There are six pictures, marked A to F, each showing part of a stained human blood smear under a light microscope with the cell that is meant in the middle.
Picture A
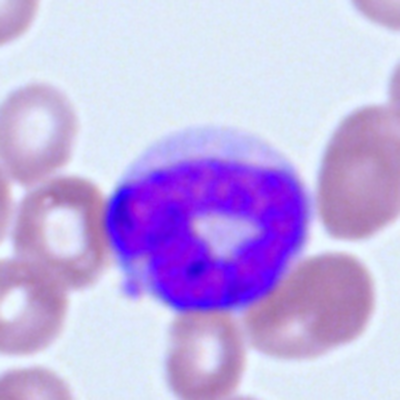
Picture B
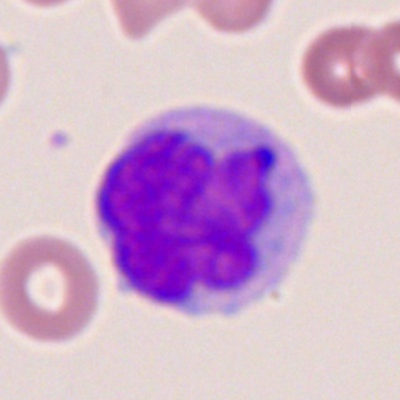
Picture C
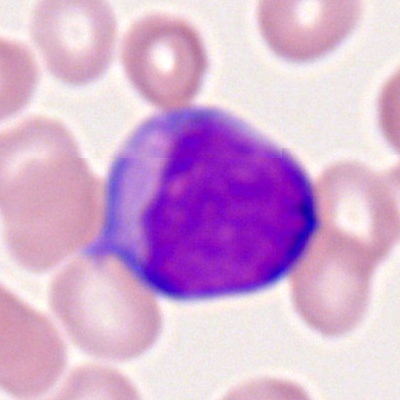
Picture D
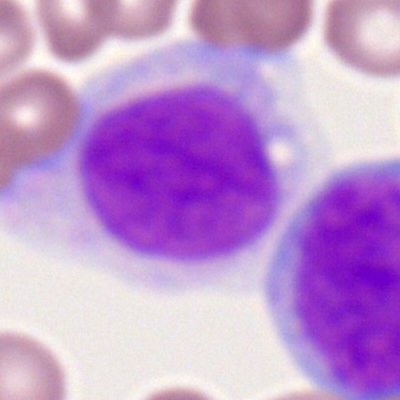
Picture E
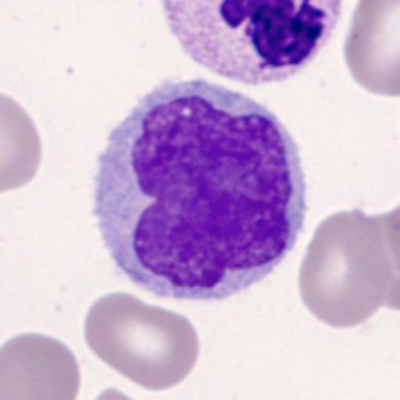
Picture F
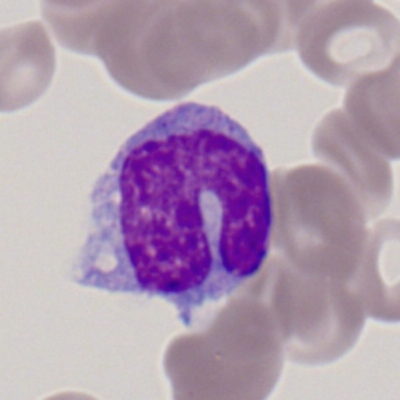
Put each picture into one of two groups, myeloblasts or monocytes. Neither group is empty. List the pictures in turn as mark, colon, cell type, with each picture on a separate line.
A: monocyte
B: monocyte
C: myeloblast
D: monocyte
E: myeloblast
F: monocyte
